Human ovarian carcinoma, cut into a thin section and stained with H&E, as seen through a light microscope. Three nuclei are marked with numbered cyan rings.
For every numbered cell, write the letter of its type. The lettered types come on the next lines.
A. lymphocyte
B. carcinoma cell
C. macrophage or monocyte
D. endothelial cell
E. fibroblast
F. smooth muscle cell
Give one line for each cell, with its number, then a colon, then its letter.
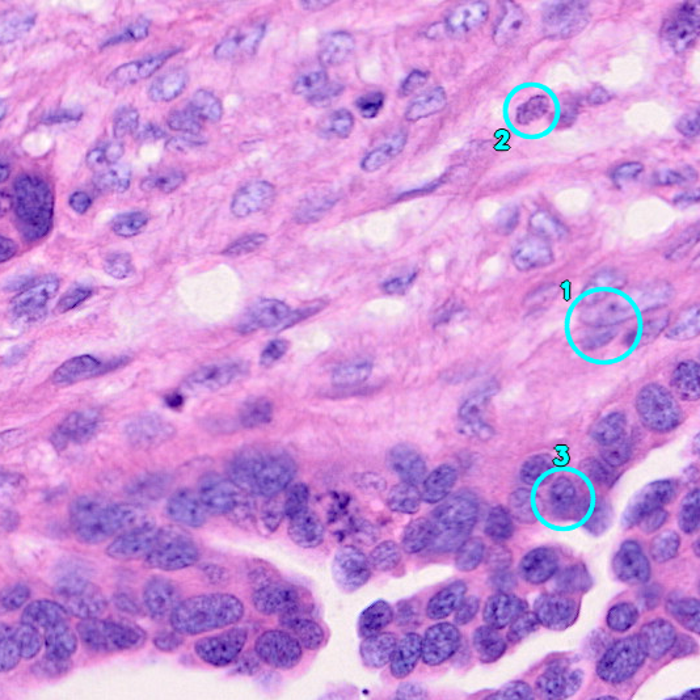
1: E
2: C
3: B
